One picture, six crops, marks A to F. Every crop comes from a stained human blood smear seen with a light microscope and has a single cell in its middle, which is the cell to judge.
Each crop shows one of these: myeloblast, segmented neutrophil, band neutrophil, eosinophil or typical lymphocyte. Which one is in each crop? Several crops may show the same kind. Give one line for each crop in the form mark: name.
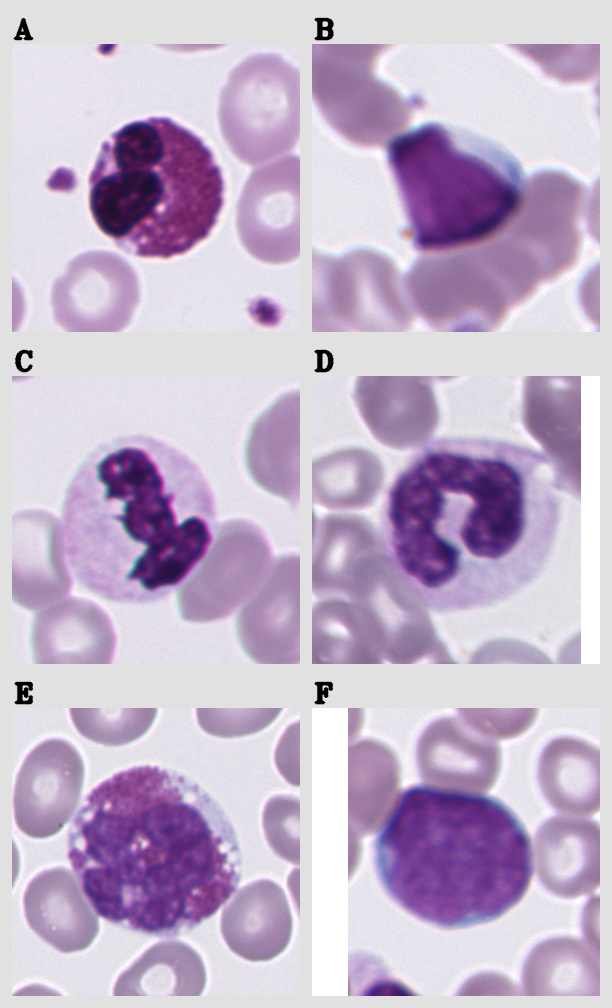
A: eosinophil
B: typical lymphocyte
C: segmented neutrophil
D: band neutrophil
E: eosinophil
F: myeloblast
